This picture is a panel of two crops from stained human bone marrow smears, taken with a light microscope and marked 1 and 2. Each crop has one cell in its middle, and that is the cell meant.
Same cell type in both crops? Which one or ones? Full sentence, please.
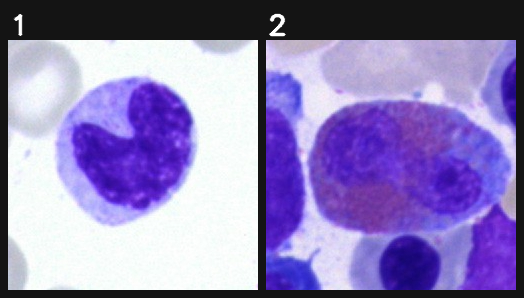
No, crop 1 presents a band neutrophil, whereas crop 2 presents an eosinophil.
